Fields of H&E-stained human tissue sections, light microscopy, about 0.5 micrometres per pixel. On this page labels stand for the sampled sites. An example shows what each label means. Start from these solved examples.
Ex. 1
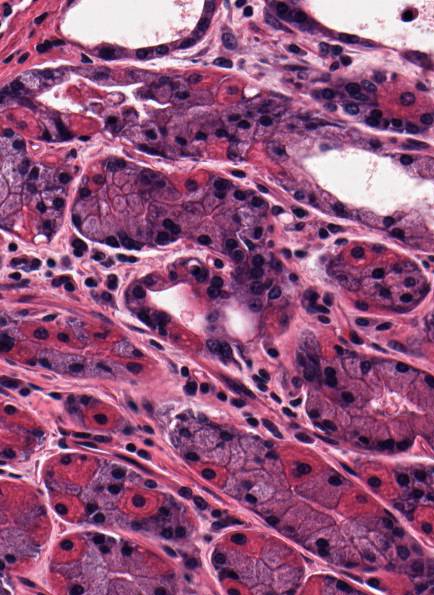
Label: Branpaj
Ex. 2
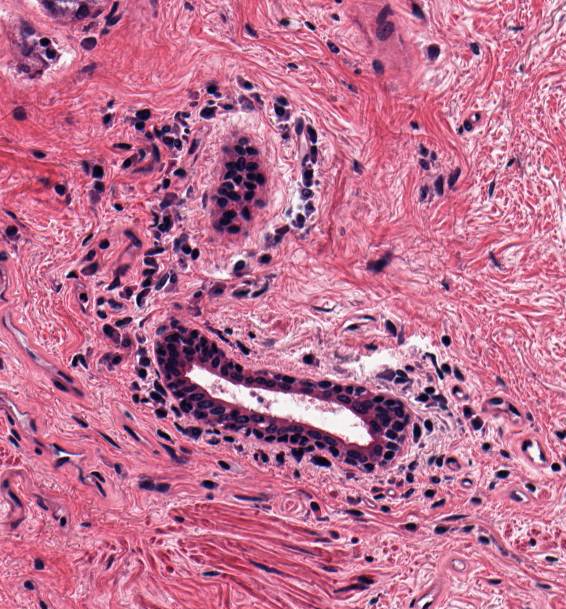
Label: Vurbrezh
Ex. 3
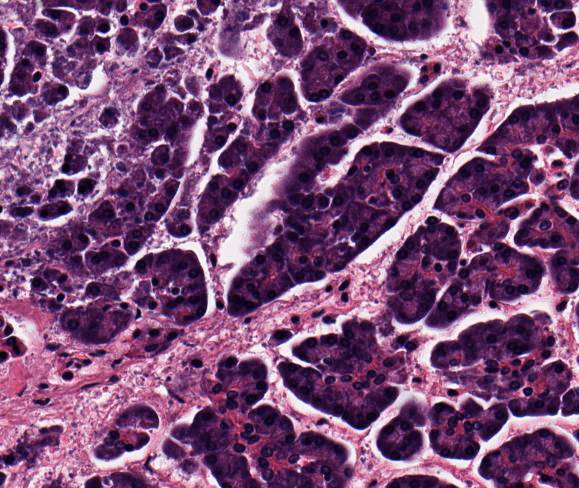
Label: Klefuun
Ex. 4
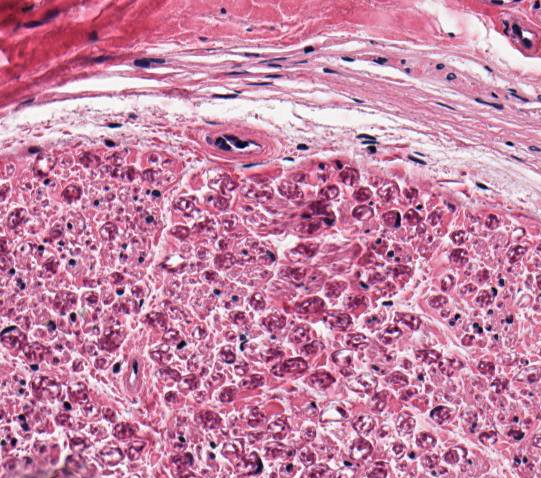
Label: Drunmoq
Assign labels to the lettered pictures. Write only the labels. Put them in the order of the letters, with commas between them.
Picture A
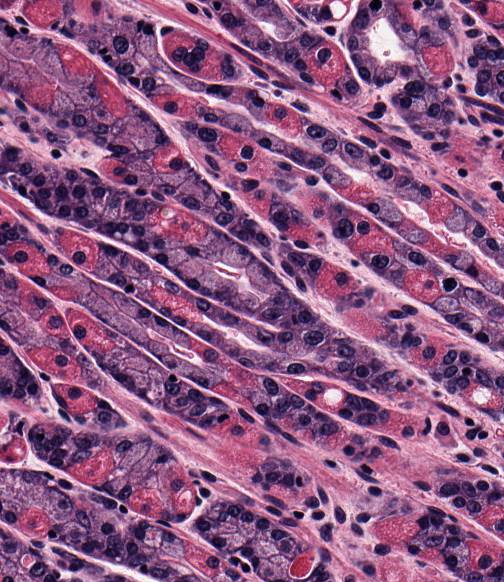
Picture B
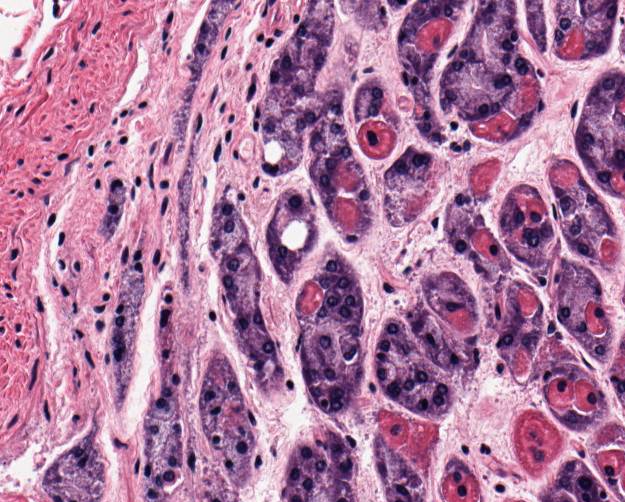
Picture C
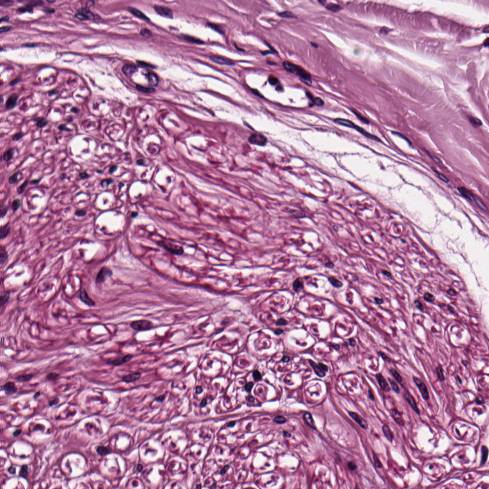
Branpaj, Branpaj, Drunmoq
